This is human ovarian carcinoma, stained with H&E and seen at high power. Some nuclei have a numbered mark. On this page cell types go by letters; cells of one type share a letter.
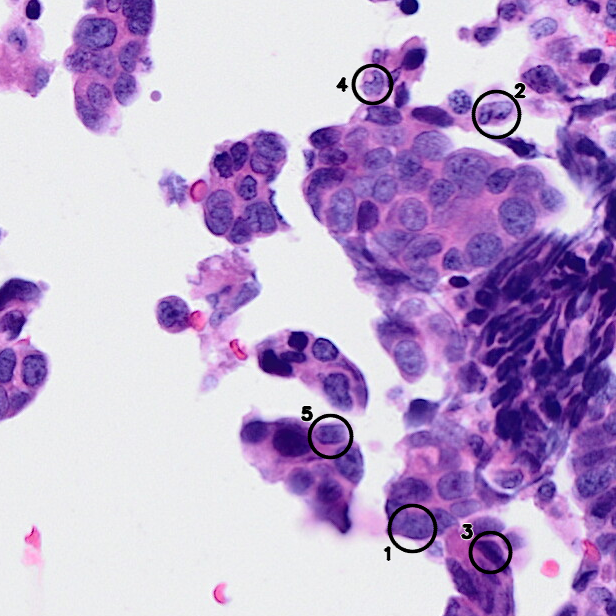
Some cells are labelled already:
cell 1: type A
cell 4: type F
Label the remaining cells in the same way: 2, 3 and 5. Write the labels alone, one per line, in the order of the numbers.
type F
type A
type A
